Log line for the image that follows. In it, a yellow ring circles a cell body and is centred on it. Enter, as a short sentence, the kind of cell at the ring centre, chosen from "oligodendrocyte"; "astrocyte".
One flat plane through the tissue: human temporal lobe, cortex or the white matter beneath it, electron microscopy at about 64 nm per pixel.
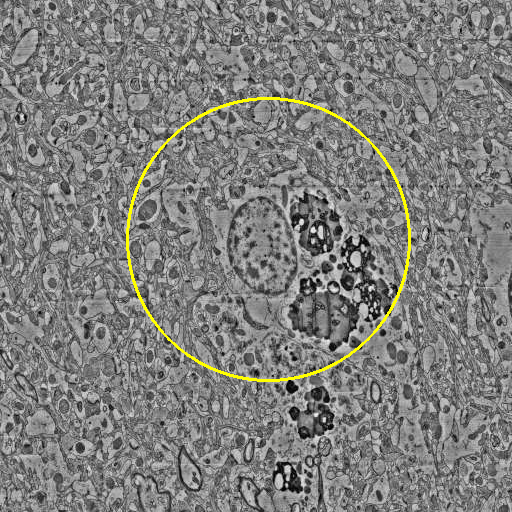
The ring centre is occupied by an astrocyte.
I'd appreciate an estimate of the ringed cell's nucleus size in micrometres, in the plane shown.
About 6 by 4 micrometers for the nucleus, in this plane.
